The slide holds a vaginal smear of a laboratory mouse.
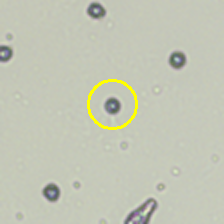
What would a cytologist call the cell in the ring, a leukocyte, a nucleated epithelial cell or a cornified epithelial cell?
A cytologist would call it a leukocyte.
